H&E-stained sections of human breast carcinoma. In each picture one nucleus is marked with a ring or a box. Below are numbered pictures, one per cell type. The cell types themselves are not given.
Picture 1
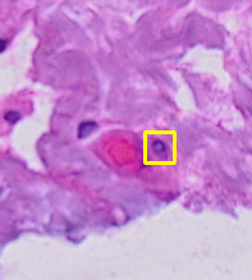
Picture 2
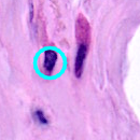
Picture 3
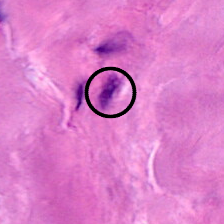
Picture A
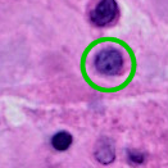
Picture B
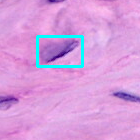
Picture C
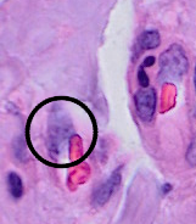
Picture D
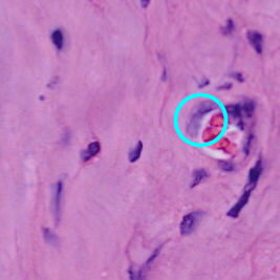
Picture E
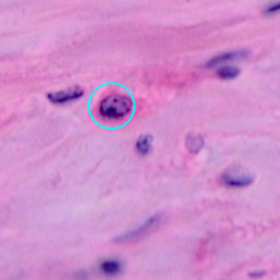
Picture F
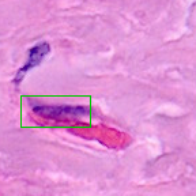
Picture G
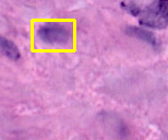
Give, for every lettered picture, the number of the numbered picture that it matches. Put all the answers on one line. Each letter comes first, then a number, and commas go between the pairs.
A 2, B 3, C 1, D 1, E 2, F 1, G 3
